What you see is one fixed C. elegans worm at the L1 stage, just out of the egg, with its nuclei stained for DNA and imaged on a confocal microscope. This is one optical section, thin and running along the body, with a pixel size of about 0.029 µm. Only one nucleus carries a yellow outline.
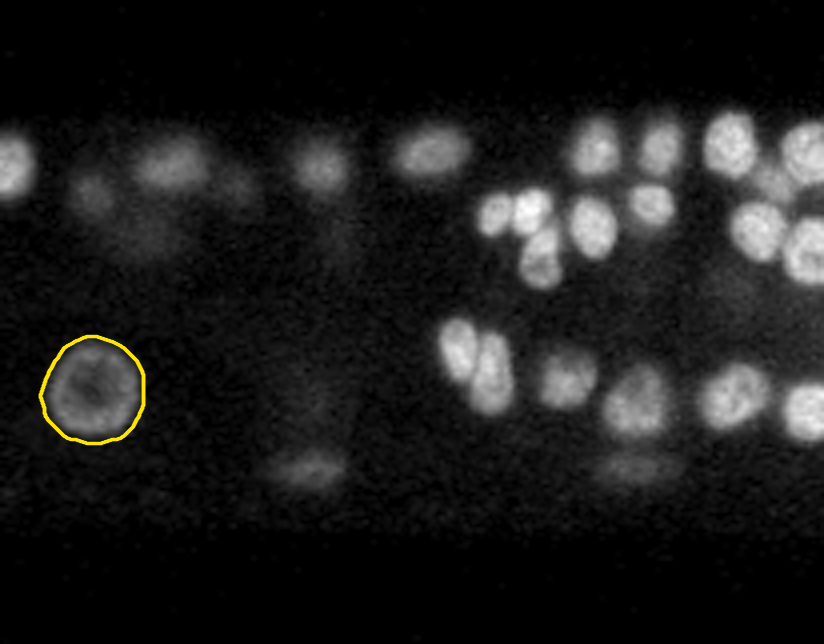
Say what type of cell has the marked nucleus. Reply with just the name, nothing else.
intestinal cell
